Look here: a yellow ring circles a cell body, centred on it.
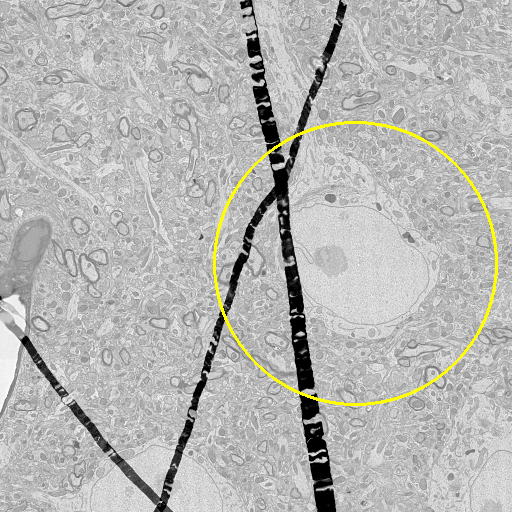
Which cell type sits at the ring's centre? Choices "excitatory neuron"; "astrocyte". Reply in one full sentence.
The cell at the centre of the yellow ring in the picture is an excitatory neuron.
